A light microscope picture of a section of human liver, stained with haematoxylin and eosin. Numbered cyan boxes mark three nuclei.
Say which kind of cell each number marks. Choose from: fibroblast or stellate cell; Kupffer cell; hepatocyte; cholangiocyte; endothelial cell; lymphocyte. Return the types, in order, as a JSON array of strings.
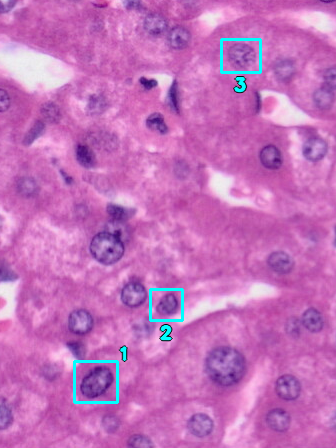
["hepatocyte", "Kupffer cell", "hepatocyte"]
